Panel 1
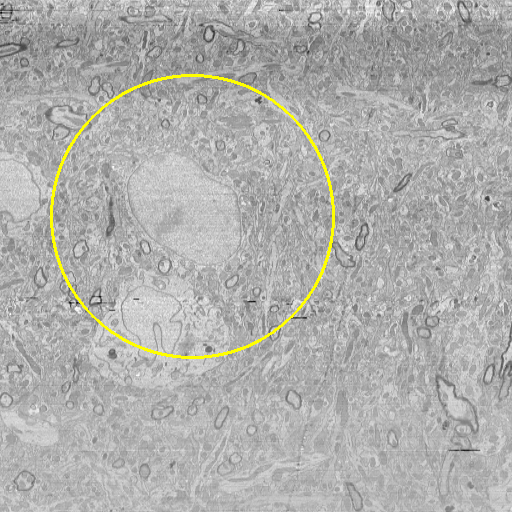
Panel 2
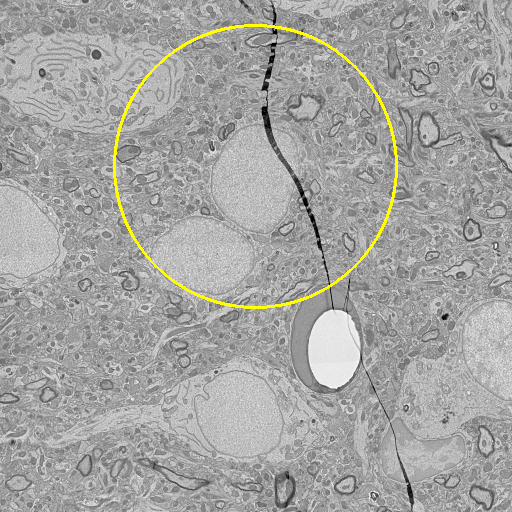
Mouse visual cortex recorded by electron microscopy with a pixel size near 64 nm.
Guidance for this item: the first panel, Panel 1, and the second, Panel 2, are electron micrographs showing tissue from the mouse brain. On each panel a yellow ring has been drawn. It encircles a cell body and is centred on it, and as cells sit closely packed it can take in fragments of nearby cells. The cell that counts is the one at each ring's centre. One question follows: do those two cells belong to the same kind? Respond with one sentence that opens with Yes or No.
Yes, the cells at the ring centres in Panel 1 and Panel 2 are of one kind.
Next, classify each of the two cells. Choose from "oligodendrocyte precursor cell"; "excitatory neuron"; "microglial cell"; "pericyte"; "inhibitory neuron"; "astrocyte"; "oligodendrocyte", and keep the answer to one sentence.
In each picture the ringed cell is an astrocyte.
